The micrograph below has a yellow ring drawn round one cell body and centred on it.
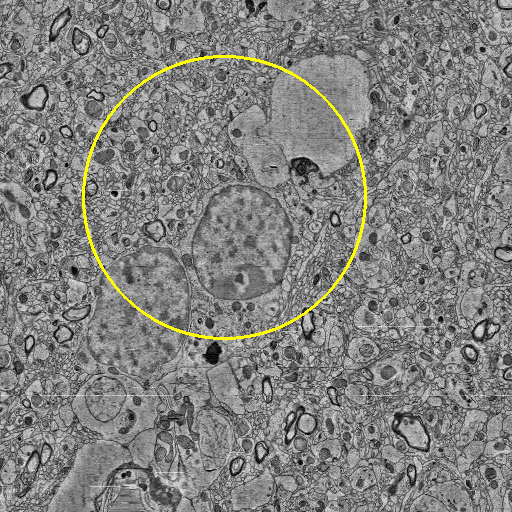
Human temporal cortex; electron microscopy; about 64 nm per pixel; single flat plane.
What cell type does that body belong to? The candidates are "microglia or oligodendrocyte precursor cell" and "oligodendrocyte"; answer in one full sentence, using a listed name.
This is an oligodendrocyte, the cell whose body lies at the centre of the ring.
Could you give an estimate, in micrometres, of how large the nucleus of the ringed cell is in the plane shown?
Approximately 7 micrometres across, in this plane.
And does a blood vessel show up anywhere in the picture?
Yes.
